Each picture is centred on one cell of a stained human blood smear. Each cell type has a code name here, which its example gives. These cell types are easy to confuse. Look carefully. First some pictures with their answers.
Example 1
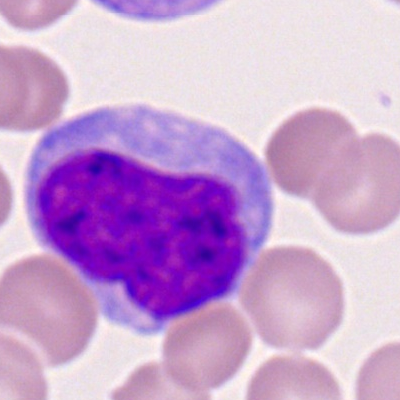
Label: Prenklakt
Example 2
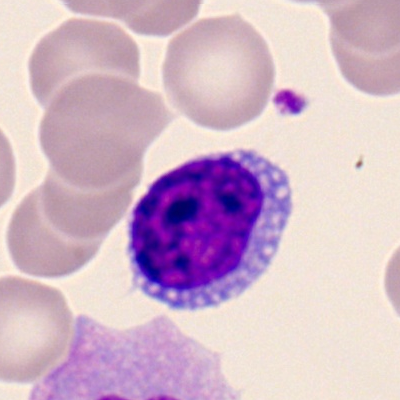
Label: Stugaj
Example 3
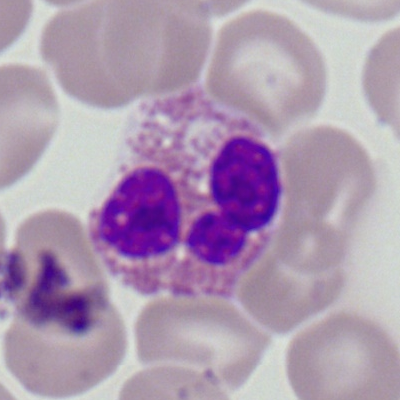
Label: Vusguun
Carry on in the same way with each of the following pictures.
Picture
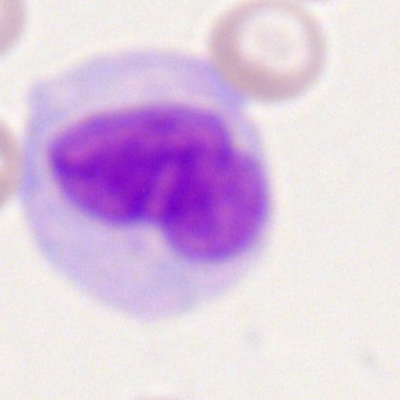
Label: Prenklakt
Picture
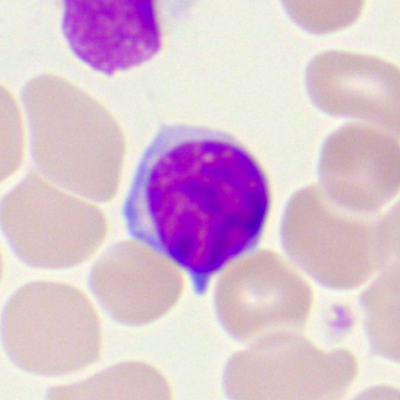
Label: Stugaj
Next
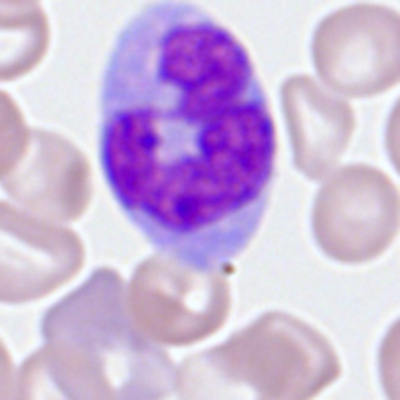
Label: Prenklakt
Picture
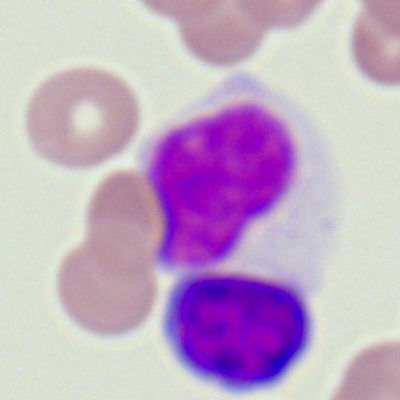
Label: Stugaj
